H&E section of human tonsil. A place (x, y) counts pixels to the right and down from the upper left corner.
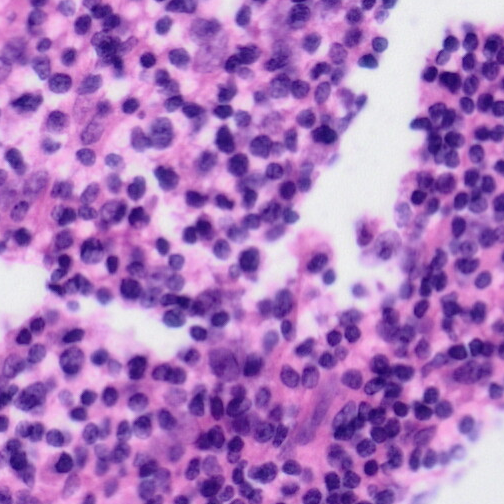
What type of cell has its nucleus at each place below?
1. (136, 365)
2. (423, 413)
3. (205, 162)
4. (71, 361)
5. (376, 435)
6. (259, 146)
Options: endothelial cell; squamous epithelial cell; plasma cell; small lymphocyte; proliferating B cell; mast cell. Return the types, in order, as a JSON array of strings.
["proliferating B cell", "small lymphocyte", "proliferating B cell", "proliferating B cell", "small lymphocyte", "proliferating B cell"]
